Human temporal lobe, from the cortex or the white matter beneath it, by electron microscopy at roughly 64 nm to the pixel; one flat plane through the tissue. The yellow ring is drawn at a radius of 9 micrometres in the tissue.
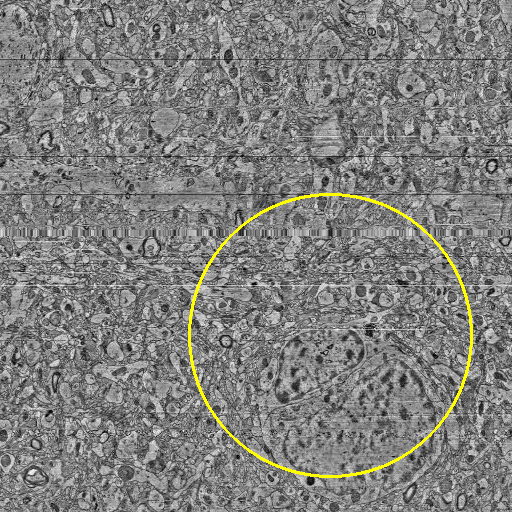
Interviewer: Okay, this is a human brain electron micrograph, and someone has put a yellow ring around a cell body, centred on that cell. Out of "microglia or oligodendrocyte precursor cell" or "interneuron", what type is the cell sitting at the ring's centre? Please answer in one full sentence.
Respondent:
The cell at the centre of the yellow ring in this picture is a microglial cell or oligodendrocyte precursor cell.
